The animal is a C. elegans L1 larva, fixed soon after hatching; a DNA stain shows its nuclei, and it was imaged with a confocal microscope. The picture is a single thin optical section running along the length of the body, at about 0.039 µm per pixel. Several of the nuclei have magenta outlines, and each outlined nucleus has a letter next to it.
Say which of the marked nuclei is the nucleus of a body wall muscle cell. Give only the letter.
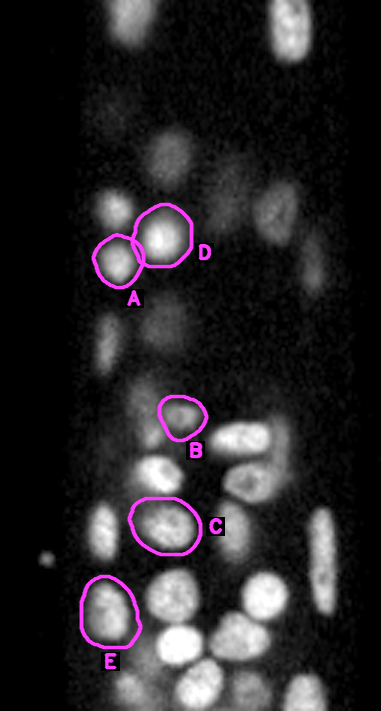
E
